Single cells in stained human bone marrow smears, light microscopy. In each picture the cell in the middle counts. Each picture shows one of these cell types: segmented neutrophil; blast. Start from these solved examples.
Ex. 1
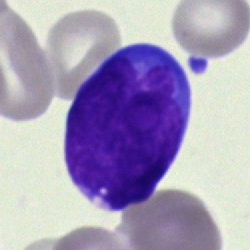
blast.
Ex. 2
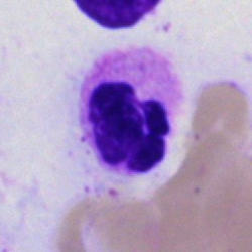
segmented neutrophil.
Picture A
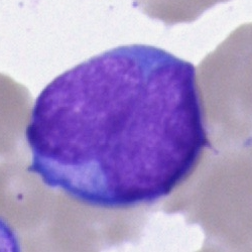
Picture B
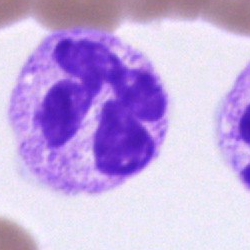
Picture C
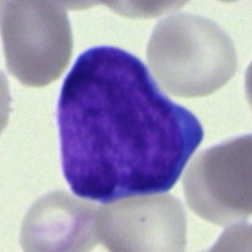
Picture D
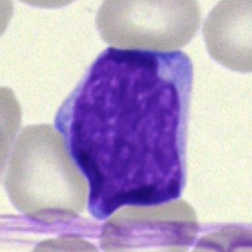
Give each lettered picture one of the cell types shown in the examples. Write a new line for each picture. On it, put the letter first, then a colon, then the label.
A: blast.
B: segmented neutrophil.
C: blast.
D: blast.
